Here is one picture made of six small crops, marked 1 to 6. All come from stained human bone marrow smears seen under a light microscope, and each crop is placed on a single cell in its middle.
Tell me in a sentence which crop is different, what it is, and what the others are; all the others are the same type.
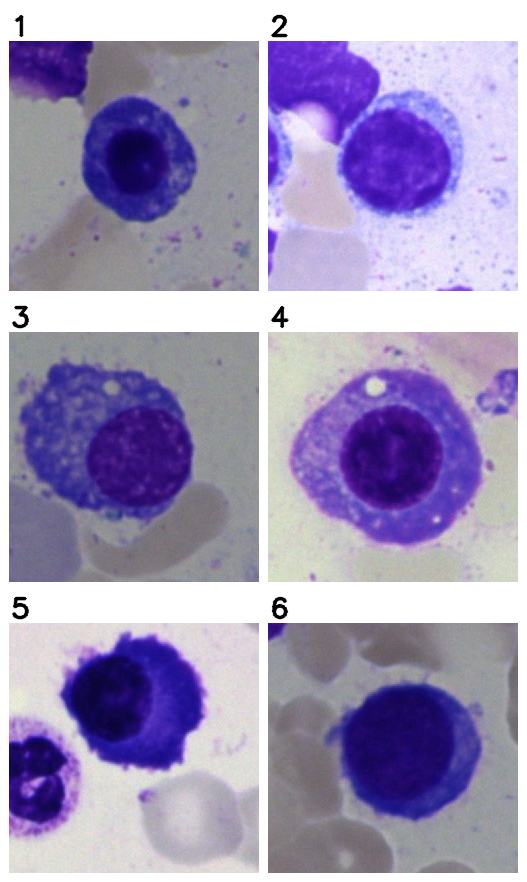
Just crop 2 is a lymphocyte; all the other crops show plasma cells.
